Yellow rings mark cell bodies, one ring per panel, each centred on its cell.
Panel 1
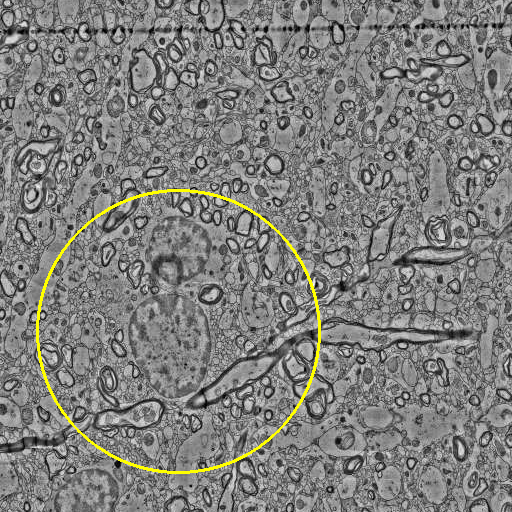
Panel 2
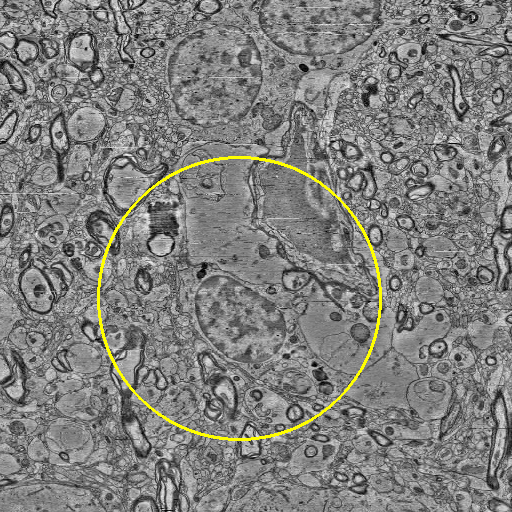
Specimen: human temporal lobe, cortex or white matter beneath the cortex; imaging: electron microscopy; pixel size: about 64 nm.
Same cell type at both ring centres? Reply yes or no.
no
